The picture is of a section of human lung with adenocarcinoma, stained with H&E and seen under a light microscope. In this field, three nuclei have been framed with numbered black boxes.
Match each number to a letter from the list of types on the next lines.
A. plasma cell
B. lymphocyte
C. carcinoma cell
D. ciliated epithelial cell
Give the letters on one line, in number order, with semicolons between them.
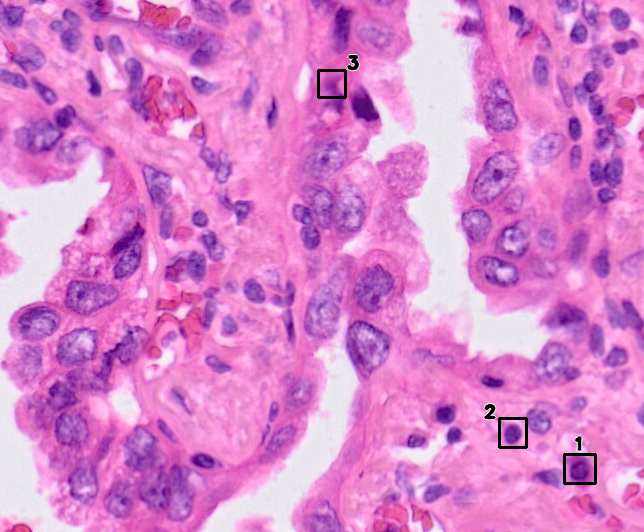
A; B; C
